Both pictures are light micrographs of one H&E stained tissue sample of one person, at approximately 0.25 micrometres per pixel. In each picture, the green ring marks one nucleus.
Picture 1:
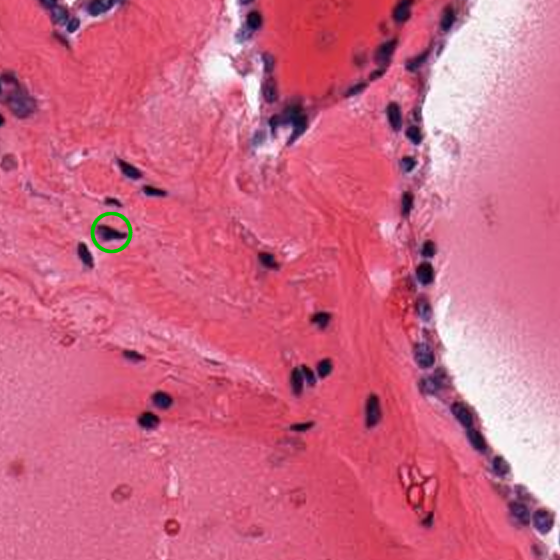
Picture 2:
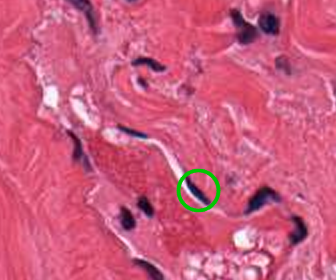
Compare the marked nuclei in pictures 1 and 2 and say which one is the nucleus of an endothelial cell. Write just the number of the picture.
2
